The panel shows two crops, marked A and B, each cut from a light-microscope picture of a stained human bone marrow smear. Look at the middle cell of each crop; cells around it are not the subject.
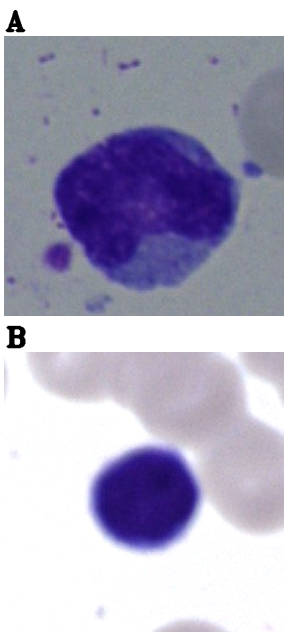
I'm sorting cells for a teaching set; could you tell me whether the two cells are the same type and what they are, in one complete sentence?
No, the cell shown in crop A is a monocyte, and the cell shown in crop B is a lymphocyte.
